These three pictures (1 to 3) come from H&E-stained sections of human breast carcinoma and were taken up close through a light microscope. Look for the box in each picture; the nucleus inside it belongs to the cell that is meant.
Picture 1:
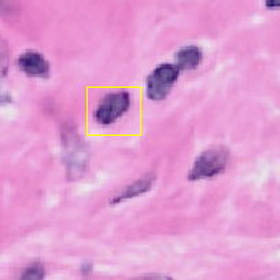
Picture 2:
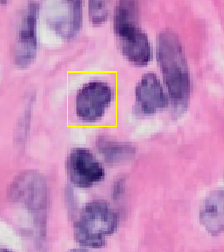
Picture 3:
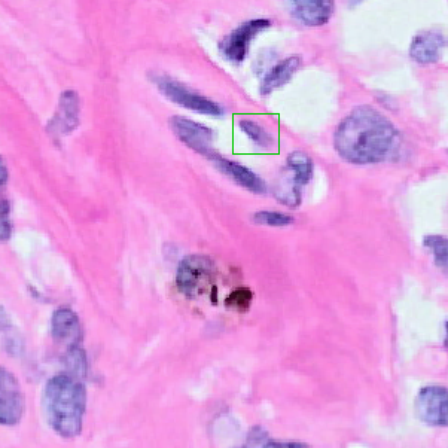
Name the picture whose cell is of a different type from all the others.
3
